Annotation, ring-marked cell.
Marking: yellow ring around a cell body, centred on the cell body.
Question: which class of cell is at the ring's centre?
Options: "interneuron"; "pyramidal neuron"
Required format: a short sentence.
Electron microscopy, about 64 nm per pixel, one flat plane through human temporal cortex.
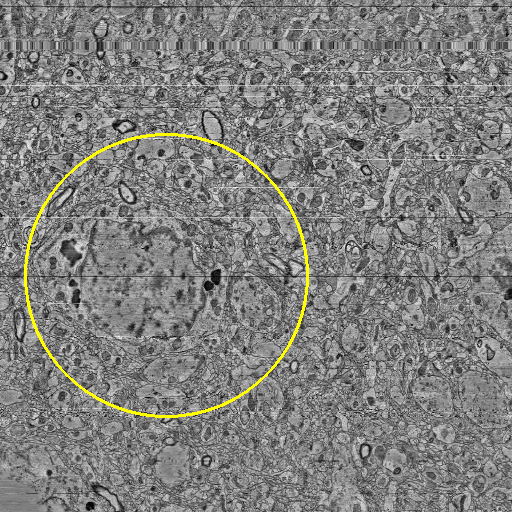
At the ring's centre is an interneuron.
